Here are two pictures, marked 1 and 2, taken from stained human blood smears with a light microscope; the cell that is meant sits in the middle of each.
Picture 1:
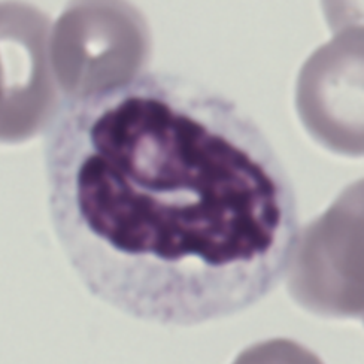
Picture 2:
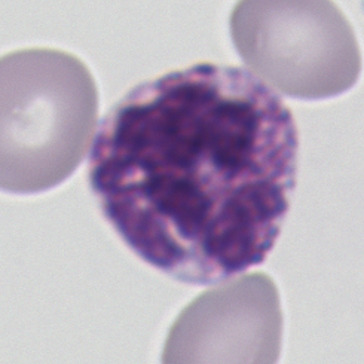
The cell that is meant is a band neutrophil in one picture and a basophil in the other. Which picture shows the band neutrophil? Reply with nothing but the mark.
1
